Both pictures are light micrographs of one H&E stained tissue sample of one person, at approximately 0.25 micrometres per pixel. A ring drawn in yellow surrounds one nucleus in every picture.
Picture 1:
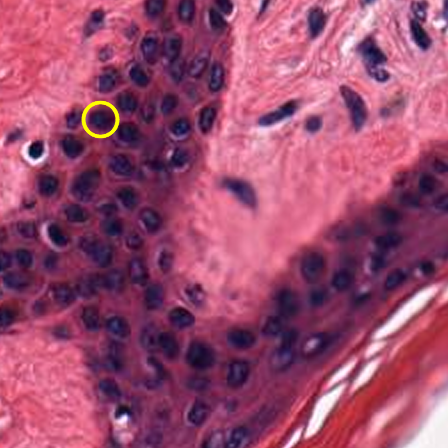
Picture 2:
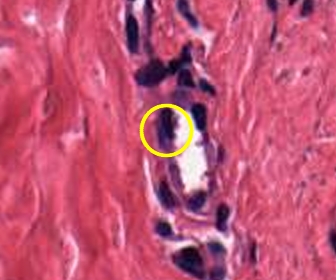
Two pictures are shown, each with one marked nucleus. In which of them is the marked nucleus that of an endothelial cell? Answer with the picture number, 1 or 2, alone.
2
